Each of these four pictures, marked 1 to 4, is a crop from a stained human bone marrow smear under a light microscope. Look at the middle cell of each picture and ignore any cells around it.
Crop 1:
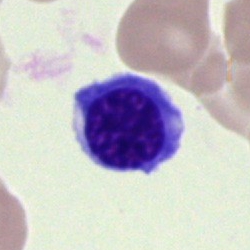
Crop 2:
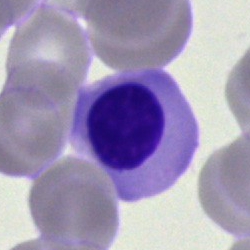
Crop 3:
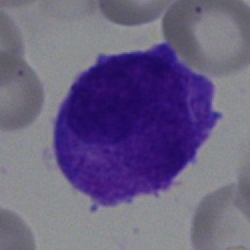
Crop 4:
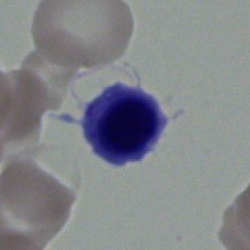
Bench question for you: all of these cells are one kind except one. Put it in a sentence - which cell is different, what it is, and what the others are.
Crop 3 is a blast, while the rest of the set consists of erythroblasts.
